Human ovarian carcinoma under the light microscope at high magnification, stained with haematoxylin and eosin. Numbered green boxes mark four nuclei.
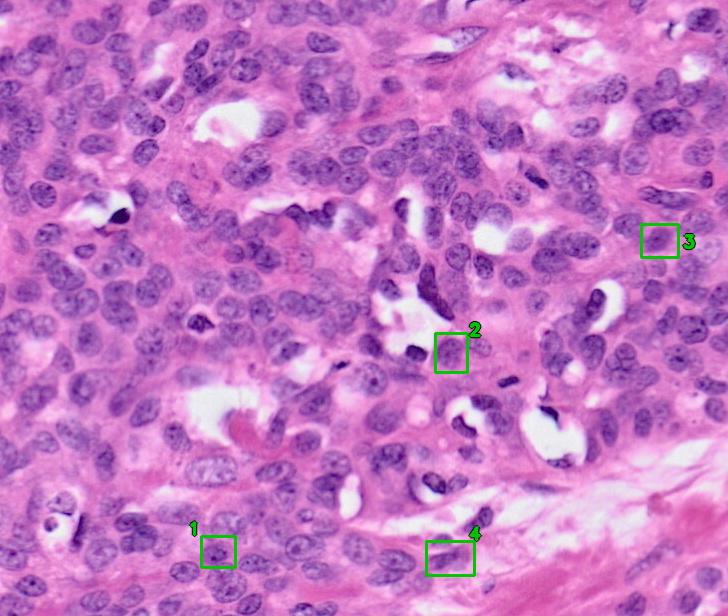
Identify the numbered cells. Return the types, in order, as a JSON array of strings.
["carcinoma cell", "carcinoma cell", "carcinoma cell", "fibroblast"]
